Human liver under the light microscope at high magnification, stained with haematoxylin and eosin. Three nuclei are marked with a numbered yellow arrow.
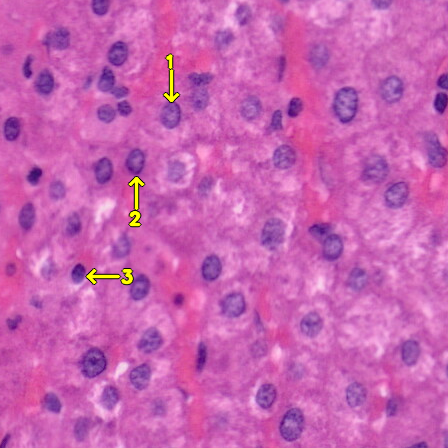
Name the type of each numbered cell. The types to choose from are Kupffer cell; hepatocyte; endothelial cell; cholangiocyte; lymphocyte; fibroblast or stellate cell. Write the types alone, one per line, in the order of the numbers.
hepatocyte
hepatocyte
lymphocyte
